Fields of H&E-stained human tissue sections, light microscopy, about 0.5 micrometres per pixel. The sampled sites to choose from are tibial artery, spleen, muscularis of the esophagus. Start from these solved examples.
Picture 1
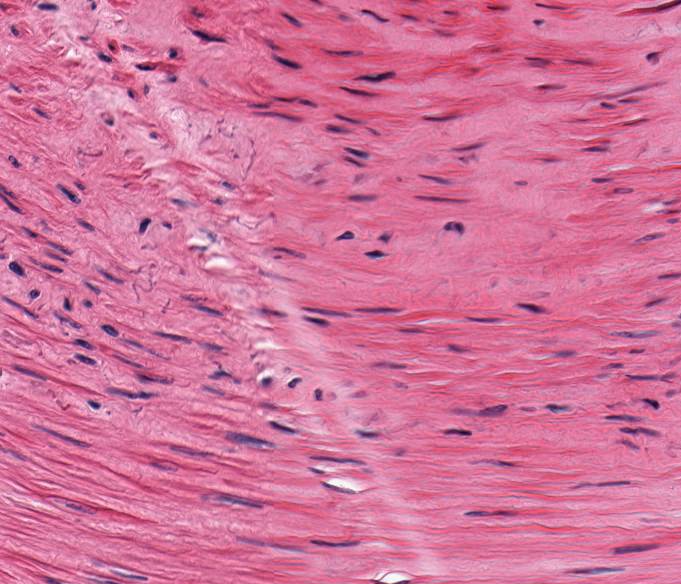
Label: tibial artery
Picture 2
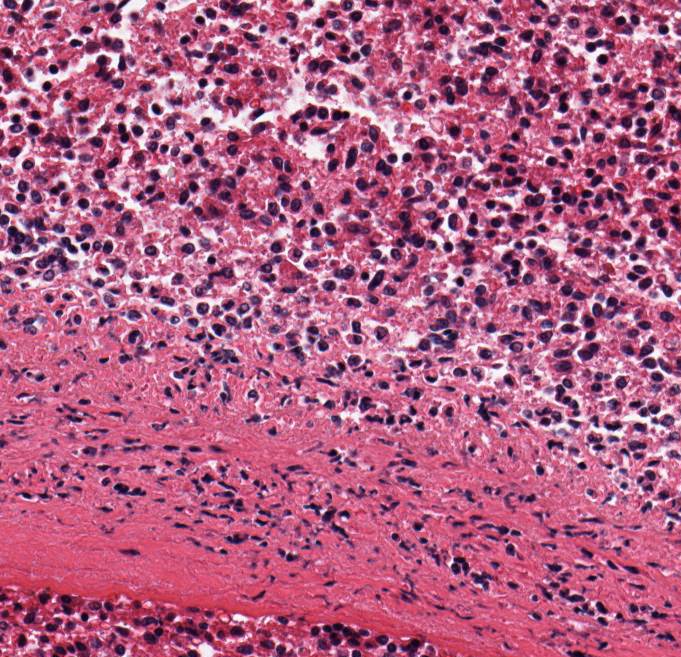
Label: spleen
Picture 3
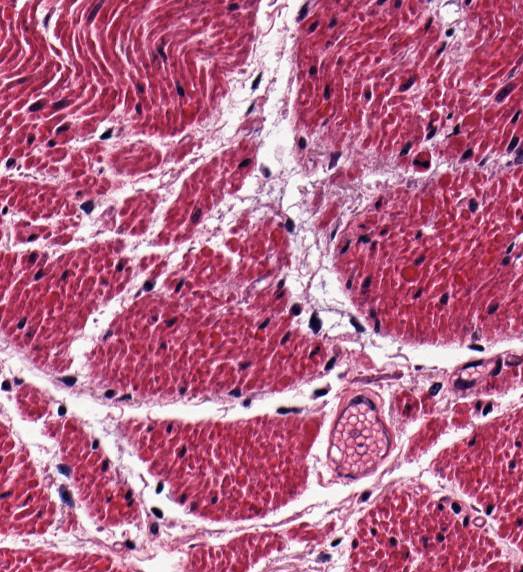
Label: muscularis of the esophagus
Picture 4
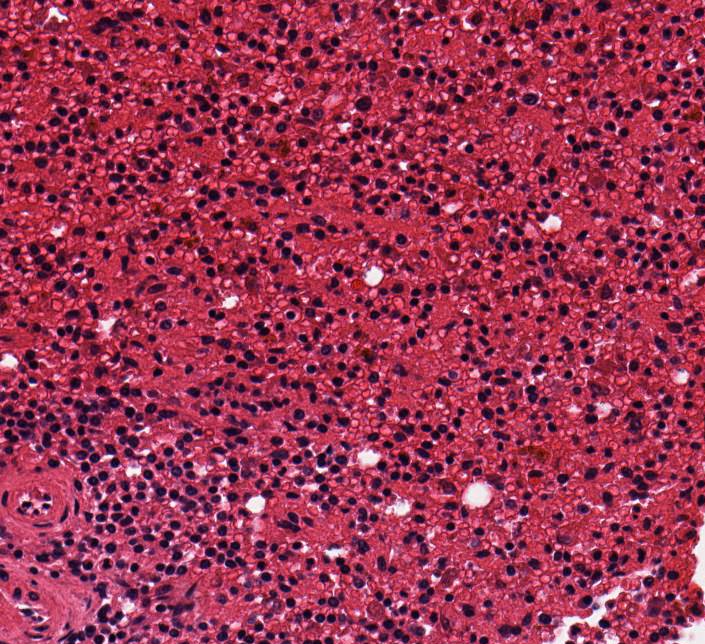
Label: spleen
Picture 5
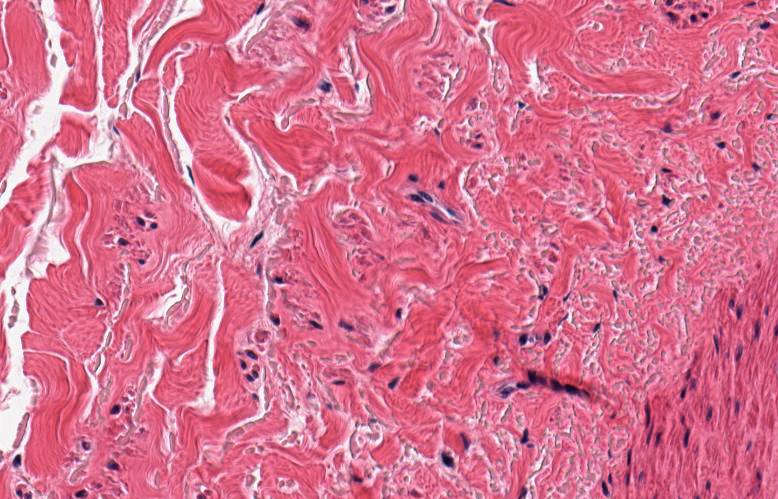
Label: tibial artery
